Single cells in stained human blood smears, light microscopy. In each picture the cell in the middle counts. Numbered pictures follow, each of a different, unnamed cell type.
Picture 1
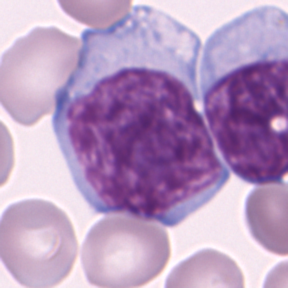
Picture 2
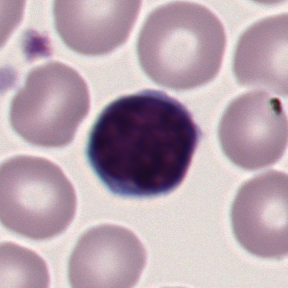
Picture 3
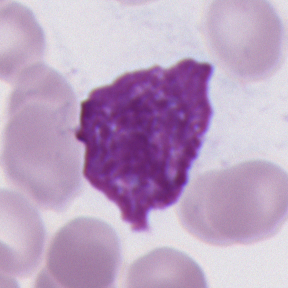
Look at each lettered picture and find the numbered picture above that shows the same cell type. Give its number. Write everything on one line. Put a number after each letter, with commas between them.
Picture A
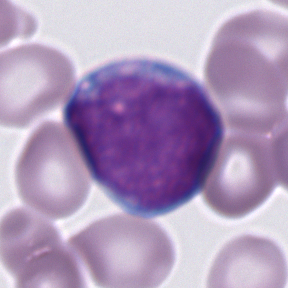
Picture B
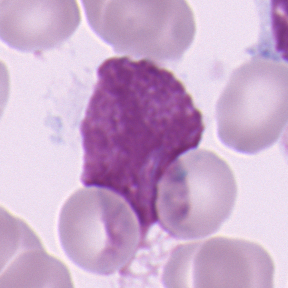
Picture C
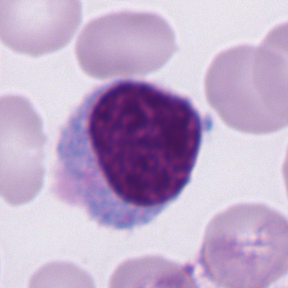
A 1, B 3, C 2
